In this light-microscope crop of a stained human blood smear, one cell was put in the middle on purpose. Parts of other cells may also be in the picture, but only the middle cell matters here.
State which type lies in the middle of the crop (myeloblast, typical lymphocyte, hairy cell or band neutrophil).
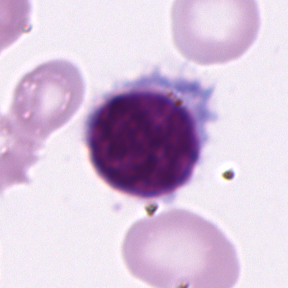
hairy cell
